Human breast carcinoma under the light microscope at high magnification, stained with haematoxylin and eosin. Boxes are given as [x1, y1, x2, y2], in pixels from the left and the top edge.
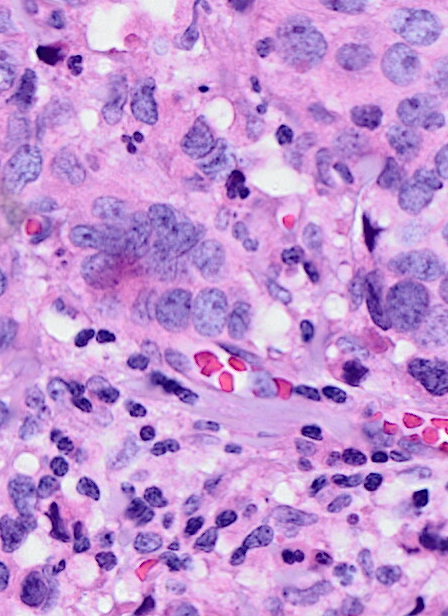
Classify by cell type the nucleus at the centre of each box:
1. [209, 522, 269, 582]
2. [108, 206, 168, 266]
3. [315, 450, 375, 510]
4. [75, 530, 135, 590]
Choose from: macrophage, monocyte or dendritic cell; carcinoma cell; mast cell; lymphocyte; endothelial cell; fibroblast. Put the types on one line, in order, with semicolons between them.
lymphocyte; carcinoma cell; lymphocyte; lymphocyte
